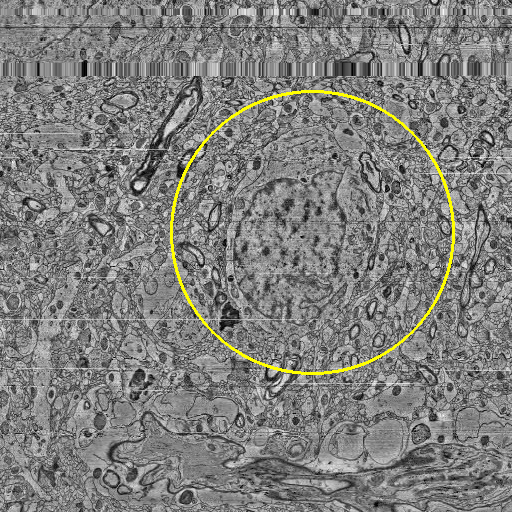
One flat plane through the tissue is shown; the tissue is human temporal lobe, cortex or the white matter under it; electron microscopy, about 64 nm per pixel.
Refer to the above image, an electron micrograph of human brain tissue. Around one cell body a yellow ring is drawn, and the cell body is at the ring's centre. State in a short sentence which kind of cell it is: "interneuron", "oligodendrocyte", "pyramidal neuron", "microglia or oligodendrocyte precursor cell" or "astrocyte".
The centre of the ring falls on an interneuron.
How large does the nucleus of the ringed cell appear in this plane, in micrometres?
In this plane, about 9 micrometres in length and 7 in width.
